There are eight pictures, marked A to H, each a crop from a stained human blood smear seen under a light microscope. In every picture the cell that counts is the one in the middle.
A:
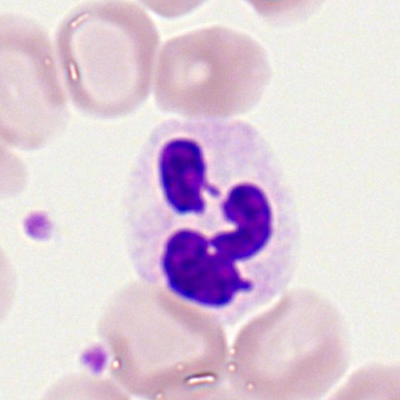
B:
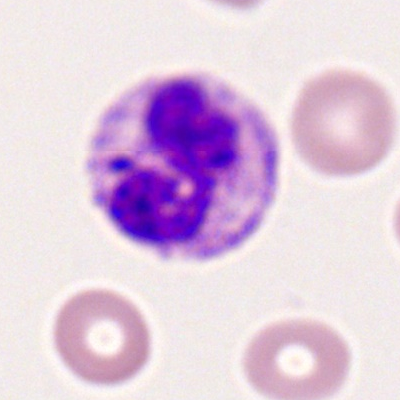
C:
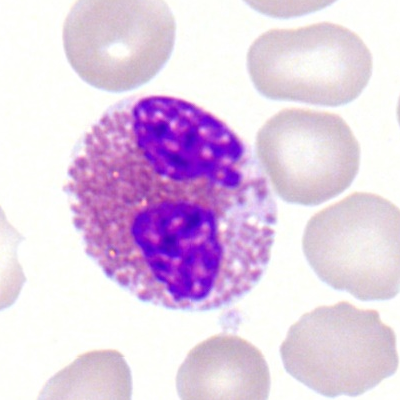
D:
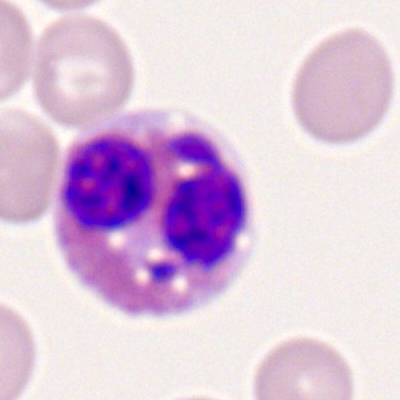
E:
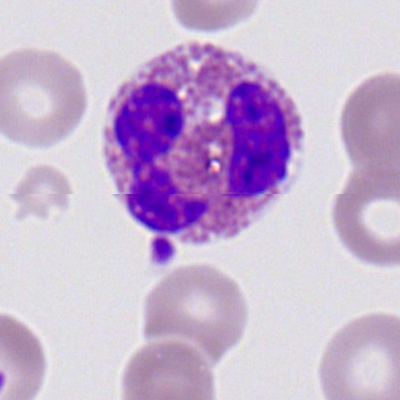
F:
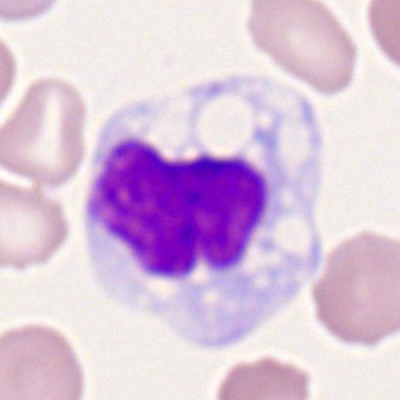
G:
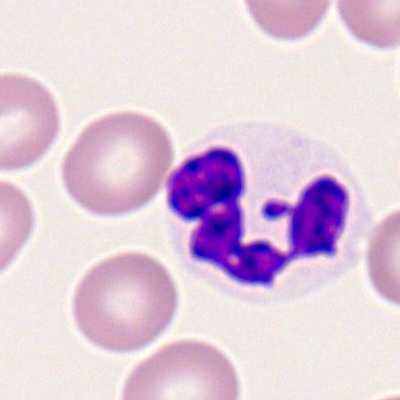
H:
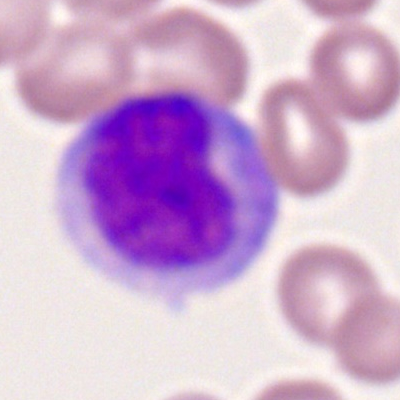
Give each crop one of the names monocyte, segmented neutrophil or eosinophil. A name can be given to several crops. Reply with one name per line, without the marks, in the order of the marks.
segmented neutrophil
segmented neutrophil
eosinophil
eosinophil
eosinophil
monocyte
segmented neutrophil
monocyte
